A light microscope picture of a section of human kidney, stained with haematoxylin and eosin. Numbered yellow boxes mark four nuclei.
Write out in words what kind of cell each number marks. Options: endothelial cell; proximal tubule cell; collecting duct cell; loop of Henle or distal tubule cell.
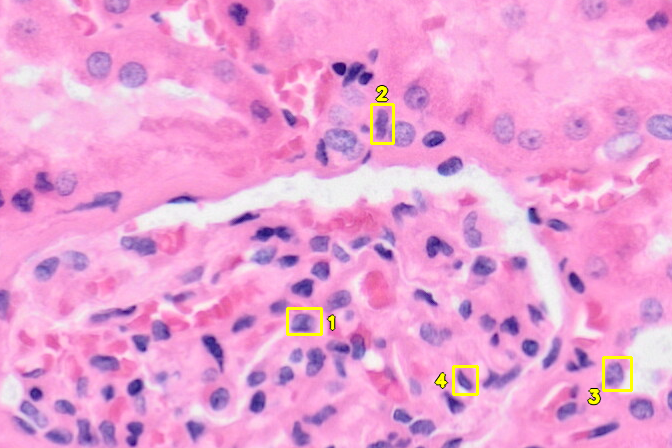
Cells 1 and 4 are endothelial cells. Cell 2 is a collecting duct cell. Cell 3 is a loop of Henle or distal tubule cell.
